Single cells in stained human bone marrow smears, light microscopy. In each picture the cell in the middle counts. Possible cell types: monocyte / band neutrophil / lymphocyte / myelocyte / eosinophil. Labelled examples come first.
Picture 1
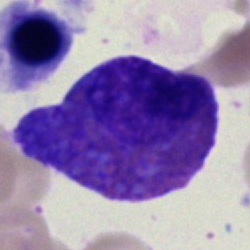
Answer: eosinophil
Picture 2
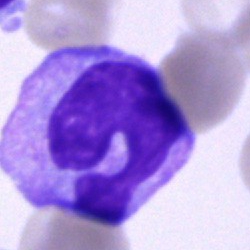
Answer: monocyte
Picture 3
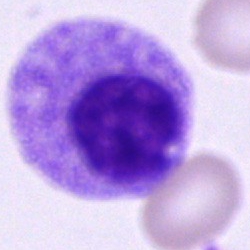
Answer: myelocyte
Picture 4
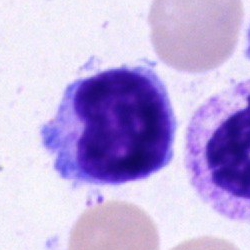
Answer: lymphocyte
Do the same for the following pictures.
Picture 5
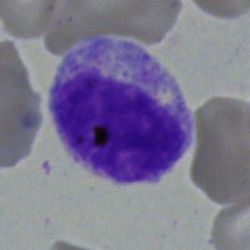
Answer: myelocyte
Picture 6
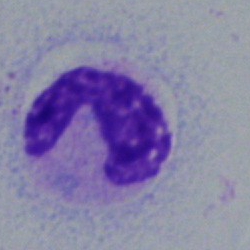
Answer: band neutrophil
